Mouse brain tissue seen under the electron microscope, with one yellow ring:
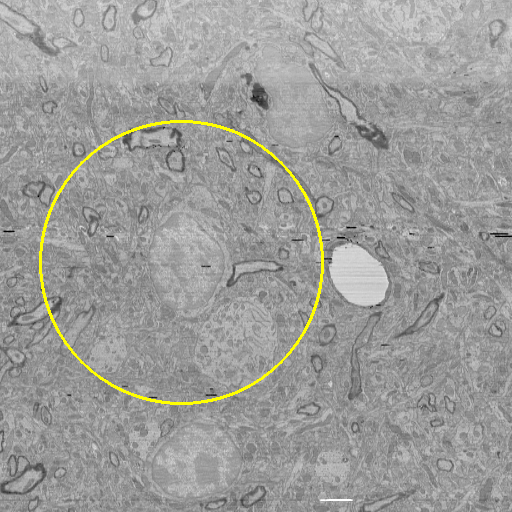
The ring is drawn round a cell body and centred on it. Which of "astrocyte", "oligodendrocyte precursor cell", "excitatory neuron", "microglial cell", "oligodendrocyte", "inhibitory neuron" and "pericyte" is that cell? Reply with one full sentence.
The picture shows an oligodendrocyte at the very centre of the yellow ring.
